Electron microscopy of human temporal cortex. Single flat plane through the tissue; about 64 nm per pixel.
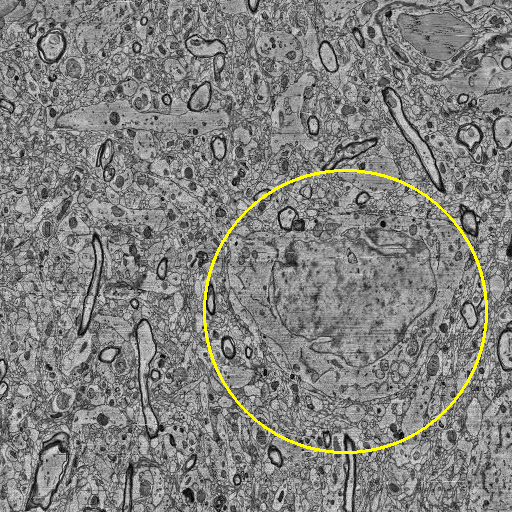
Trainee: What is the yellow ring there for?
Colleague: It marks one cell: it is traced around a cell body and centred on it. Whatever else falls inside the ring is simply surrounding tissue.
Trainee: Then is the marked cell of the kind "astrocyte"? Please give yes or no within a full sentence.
No, the marked cell at the centre of the yellow ring is of a different kind.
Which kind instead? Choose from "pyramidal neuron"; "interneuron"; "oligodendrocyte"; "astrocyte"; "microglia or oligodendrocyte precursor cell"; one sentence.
As it turns out, the cell at the ring centre is an interneuron.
